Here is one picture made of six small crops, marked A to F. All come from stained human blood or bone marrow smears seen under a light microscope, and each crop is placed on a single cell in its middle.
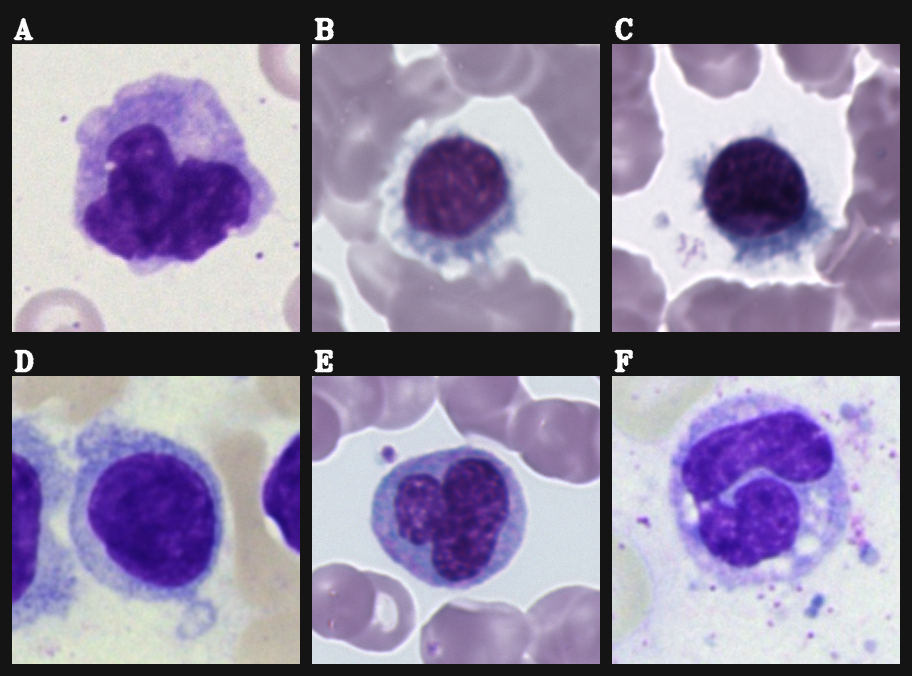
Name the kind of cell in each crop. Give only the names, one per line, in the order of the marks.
monocyte
hairy cell
hairy cell
hairy cell
monocyte
monocyte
